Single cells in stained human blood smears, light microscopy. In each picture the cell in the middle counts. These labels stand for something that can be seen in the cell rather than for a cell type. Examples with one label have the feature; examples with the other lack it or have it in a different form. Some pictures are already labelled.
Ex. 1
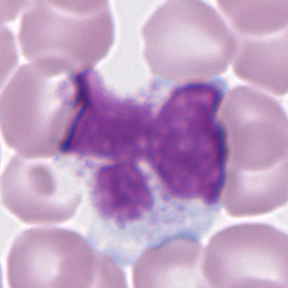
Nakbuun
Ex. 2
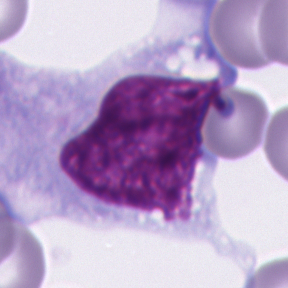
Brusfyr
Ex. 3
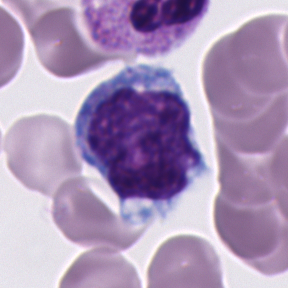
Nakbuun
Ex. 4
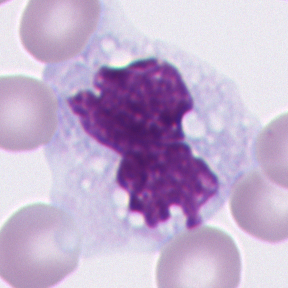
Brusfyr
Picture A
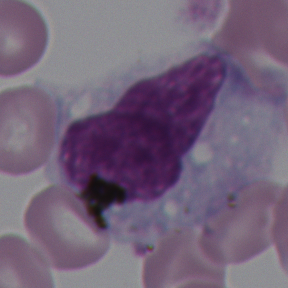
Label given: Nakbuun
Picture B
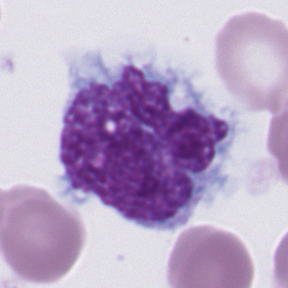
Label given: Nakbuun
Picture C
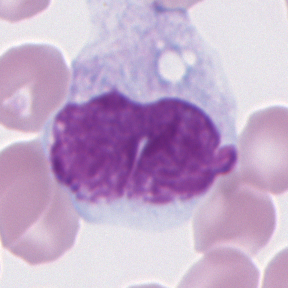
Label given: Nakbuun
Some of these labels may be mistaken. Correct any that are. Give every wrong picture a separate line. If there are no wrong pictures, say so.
A: not Nakbuun but Brusfyr
C: not Nakbuun but Brusfyr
